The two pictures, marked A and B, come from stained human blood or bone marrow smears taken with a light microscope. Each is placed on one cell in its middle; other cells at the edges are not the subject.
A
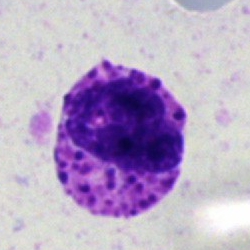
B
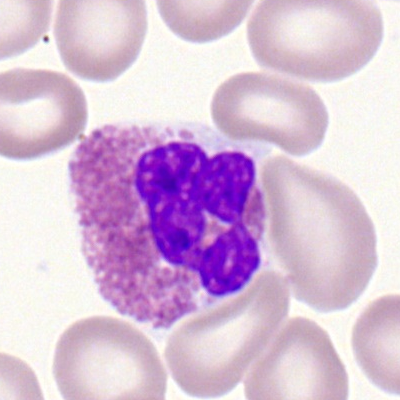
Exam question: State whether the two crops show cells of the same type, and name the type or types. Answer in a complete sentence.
No, just to correct that: crop A shows a basophil, crop B shows an eosinophil.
